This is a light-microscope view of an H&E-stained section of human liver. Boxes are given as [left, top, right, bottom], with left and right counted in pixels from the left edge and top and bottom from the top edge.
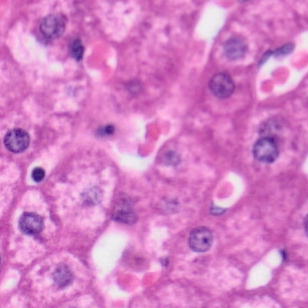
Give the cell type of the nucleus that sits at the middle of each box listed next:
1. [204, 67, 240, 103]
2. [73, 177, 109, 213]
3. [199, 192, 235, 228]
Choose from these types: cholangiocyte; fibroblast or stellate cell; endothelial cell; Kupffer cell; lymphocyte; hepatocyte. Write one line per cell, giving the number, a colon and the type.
1: hepatocyte
2: hepatocyte
3: endothelial cell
